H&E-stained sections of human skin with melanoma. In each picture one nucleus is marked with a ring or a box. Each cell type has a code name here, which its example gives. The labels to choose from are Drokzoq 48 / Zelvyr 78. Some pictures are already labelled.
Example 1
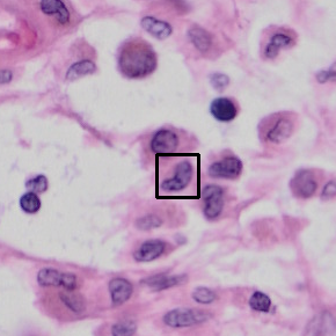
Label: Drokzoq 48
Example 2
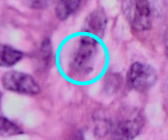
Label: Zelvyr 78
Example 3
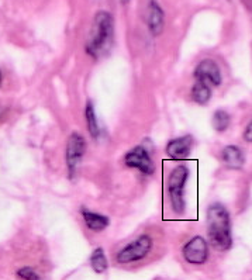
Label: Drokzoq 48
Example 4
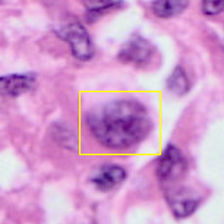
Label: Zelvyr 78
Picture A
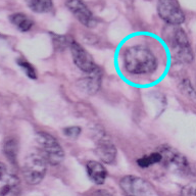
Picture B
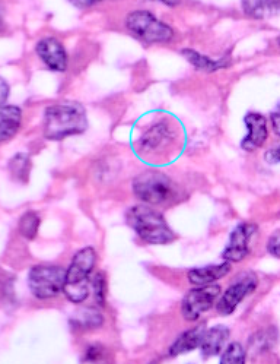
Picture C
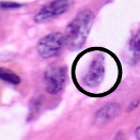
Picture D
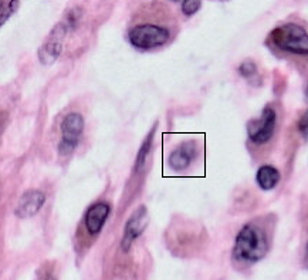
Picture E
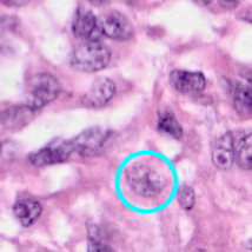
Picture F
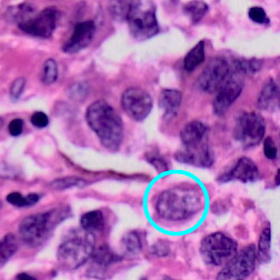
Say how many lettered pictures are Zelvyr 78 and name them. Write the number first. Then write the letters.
Count: 5 (A, B, C, E, F)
